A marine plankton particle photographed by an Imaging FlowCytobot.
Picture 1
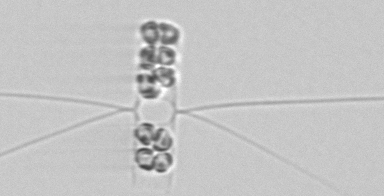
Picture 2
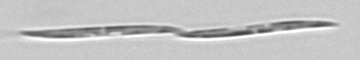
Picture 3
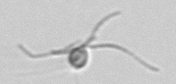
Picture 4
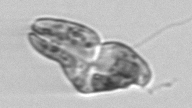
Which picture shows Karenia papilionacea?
Picture 4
